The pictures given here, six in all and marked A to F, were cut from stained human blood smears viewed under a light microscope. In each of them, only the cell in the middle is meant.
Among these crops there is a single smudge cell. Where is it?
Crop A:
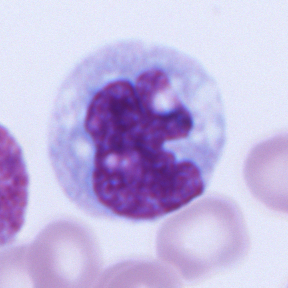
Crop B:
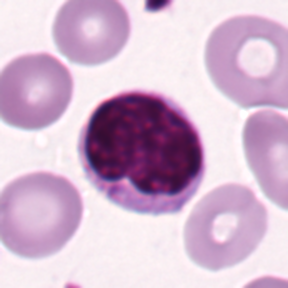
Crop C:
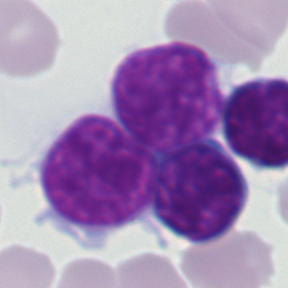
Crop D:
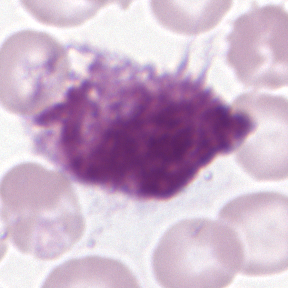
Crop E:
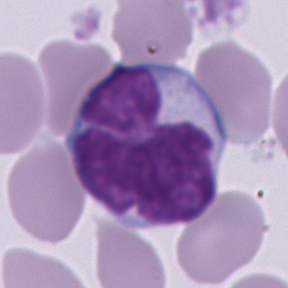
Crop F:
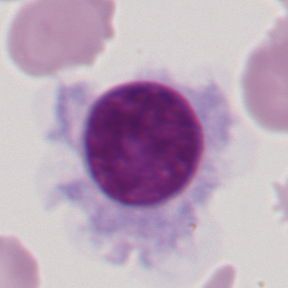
D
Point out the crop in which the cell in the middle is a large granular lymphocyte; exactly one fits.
B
